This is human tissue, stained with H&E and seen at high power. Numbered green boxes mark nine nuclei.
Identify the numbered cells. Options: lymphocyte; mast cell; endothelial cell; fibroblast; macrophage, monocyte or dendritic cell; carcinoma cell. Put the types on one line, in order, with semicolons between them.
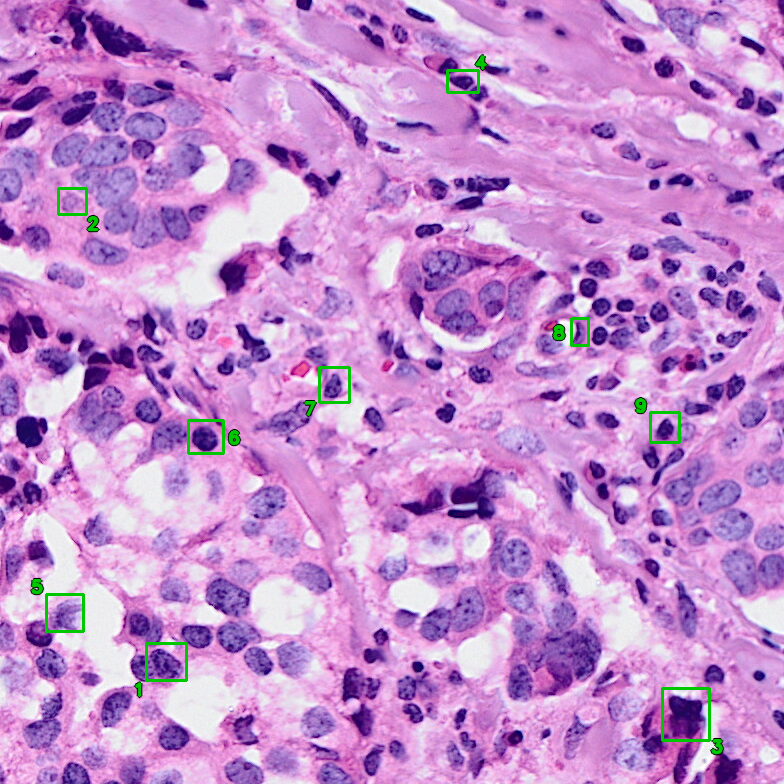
carcinoma cell; carcinoma cell; carcinoma cell; lymphocyte; carcinoma cell; carcinoma cell; lymphocyte; endothelial cell; lymphocyte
